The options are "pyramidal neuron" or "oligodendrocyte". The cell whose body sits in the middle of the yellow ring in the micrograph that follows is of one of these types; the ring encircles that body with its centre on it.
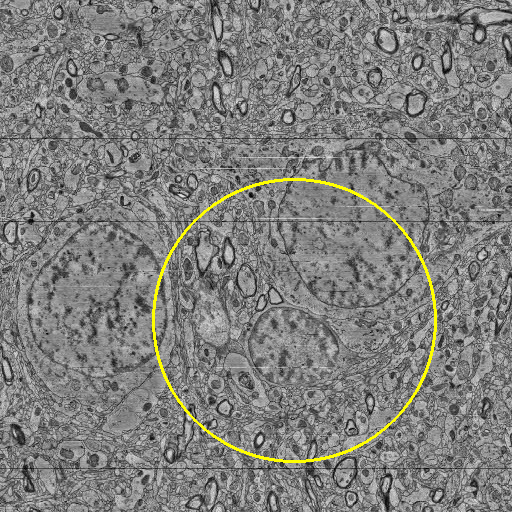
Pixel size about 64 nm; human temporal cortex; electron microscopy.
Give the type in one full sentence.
Going by the micrograph, the cell centred in the yellow ring is an oligodendrocyte.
